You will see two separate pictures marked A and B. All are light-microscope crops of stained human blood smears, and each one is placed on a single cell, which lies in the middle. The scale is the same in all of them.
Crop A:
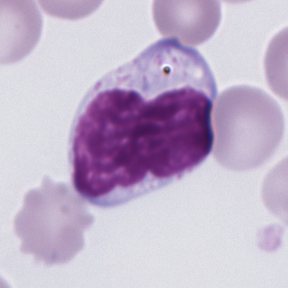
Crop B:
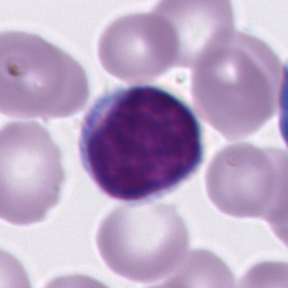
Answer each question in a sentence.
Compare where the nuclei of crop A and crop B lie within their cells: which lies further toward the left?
It is the nucleus in crop A that lies further toward the left of its cell.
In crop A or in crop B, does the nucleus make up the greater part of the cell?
In crop B the nucleus takes up the larger part of its cell.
